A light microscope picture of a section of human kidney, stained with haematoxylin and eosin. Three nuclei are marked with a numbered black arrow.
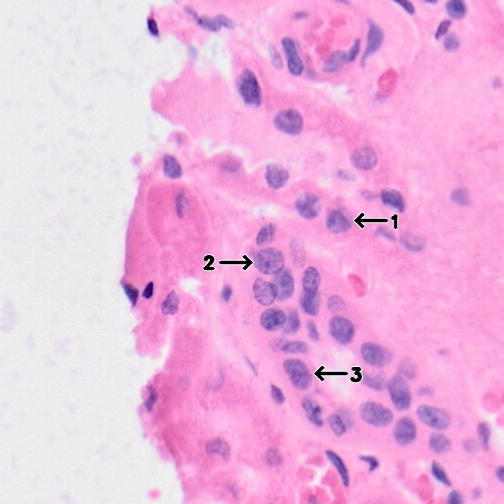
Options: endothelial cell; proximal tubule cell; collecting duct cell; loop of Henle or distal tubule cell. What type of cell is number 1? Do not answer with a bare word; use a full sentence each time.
The cell marked with number 1 is a loop of Henle or distal tubule cell.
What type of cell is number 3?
The cell that is numbered 3 is a collecting duct cell.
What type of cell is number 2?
To a collecting duct cell belongs the nucleus marked 2.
